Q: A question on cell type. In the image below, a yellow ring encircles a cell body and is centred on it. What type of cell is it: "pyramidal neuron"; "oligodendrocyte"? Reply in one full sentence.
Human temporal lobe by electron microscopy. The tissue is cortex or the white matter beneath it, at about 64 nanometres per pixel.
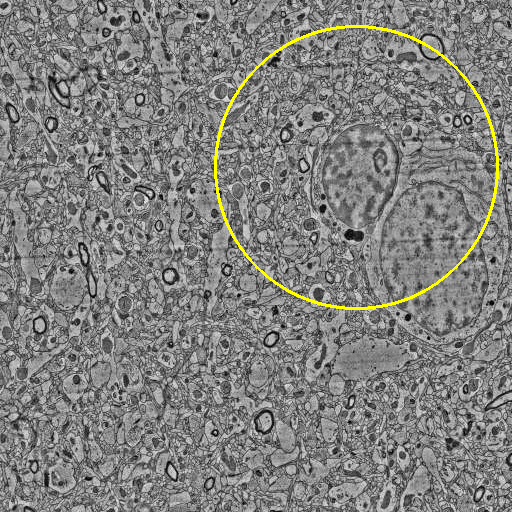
It is an oligodendrocyte whose cell body sits at the centre of the yellow ring in the image.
